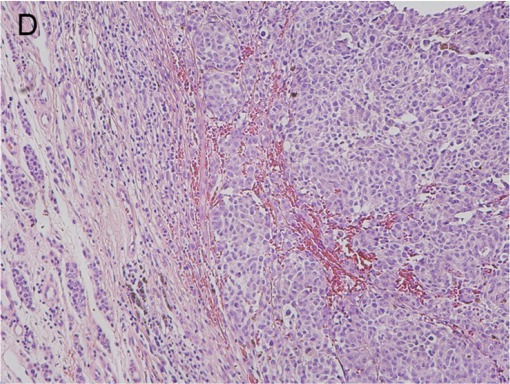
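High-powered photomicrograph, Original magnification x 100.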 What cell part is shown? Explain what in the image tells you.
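Large cells with pale open nuclei.
Prominent nucleoli.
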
